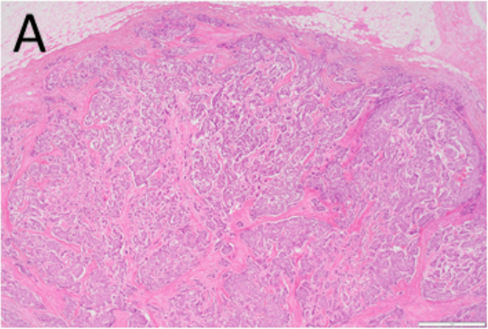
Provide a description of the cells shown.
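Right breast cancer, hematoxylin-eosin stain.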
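At low power, large, rounded nodules of densely packed purple epithelial cells fill most of the field. Bands of pink fibrous tissue divide the nodules, and a paler fibrous rim runs along the top. Inside each nodule the cells form many small, irregular nests and trabeculae separated by fine clefts. No normal ducts or lobules are seen.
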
